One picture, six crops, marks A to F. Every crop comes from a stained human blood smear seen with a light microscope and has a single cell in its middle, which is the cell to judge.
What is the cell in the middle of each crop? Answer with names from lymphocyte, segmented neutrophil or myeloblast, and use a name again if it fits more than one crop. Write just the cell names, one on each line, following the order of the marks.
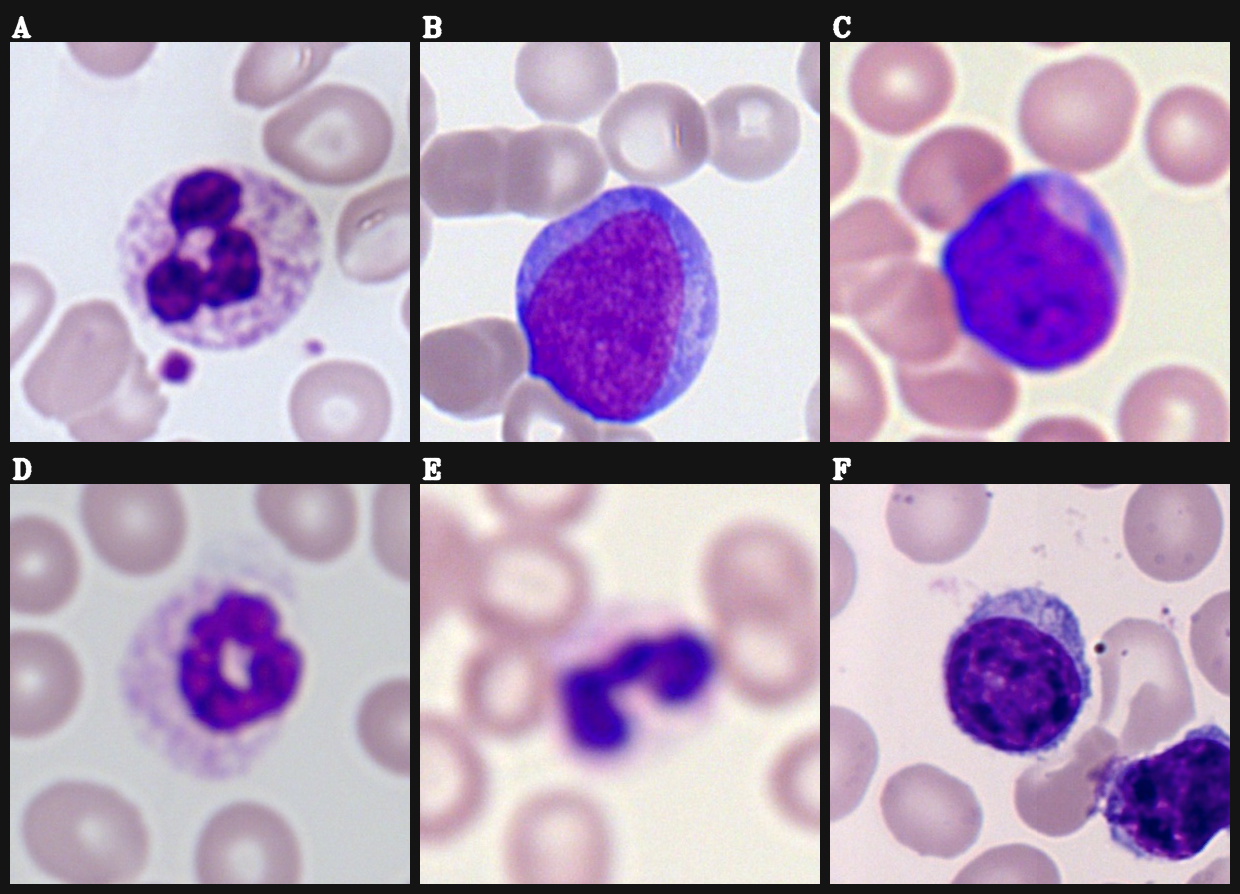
segmented neutrophil
myeloblast
myeloblast
segmented neutrophil
segmented neutrophil
lymphocyte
